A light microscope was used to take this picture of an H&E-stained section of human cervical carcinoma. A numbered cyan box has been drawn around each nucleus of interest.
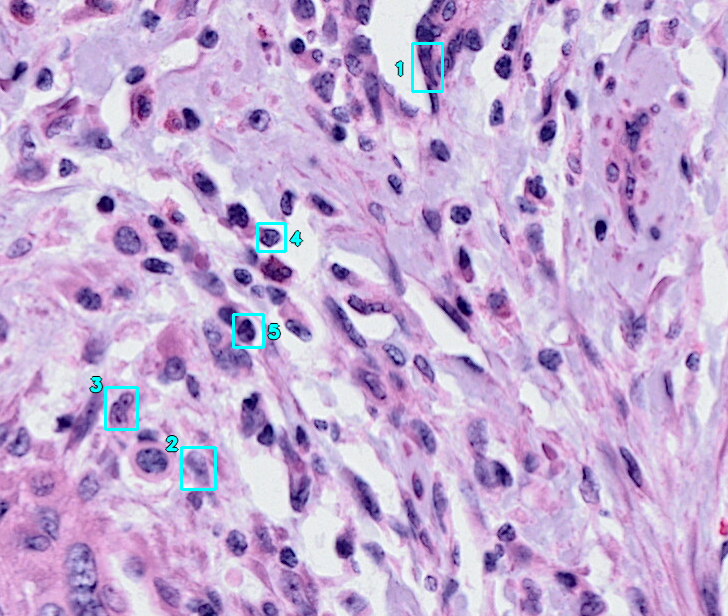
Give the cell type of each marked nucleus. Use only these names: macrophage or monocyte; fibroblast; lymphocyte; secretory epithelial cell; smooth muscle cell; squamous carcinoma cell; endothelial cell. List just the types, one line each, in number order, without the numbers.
endothelial cell
fibroblast
macrophage or monocyte
lymphocyte
lymphocyte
